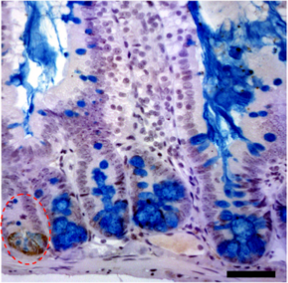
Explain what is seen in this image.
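This is small intestinal mucosa with columnar epithelium and crypts at the base. The epithelium is largely without brown staining, except for one crypt at the lower left, outlined in red, whose cells remain brown-stained.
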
